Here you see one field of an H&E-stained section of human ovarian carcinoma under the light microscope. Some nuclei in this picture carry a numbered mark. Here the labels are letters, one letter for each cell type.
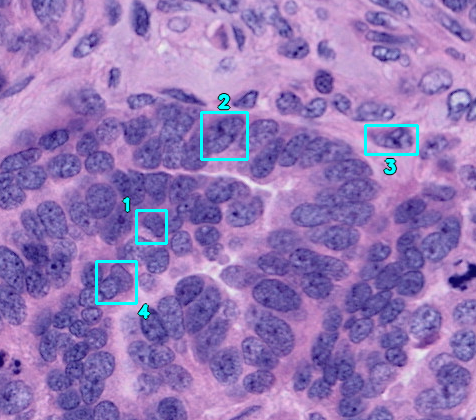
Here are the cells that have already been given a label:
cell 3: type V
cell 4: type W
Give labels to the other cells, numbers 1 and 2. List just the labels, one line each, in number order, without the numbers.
type W
type W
